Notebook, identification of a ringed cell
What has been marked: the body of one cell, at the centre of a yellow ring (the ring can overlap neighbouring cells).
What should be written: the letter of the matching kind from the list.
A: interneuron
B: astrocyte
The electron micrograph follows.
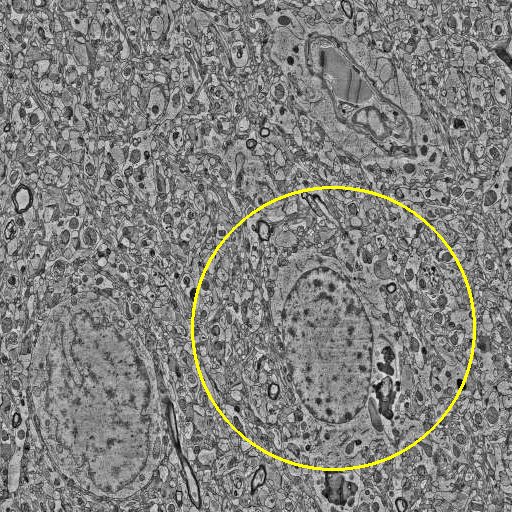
B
